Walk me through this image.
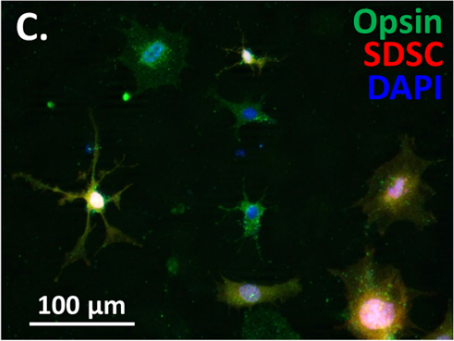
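The green stain lies in the cytoplasm as fine dots and granules rather than as long filaments. Where green and red overlap, the cytoplasm looks yellow to orange, and some cells have a very bright, rounded center over the nucleus. The cells vary in shape: some are flattened and irregular, while a few send out thin, branching processes. Each cell has one blue-stained nucleus, and the cells lie well apart from one another on a dark background.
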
